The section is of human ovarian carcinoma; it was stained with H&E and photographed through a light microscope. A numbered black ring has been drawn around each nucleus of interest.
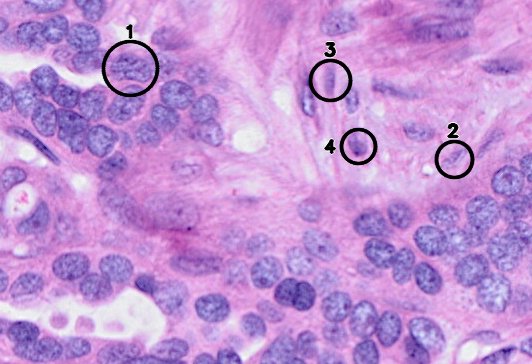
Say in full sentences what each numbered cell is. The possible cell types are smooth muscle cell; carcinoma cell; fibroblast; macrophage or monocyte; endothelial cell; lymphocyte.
Cell 1 is a carcinoma cell, cell 2 is a fibroblast, cell 3 is a fibroblast and cell 4 is a fibroblast.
